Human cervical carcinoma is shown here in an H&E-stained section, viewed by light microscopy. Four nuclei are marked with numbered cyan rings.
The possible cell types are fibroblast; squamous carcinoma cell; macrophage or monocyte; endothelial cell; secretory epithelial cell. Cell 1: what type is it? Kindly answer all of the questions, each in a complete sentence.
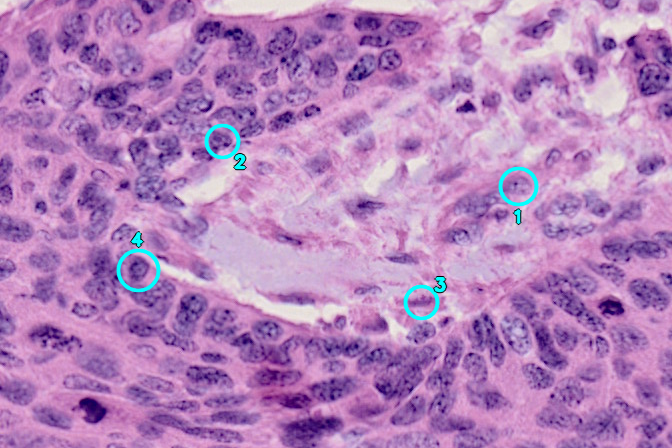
Among the marked cells, number 1 is an endothelial cell.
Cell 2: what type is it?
Among the marked nuclei, number 2 belongs to a squamous carcinoma cell.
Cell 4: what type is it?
The cell numbered 4 represents a squamous carcinoma cell.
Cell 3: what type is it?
The identity of cell 3 is that of a fibroblast.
